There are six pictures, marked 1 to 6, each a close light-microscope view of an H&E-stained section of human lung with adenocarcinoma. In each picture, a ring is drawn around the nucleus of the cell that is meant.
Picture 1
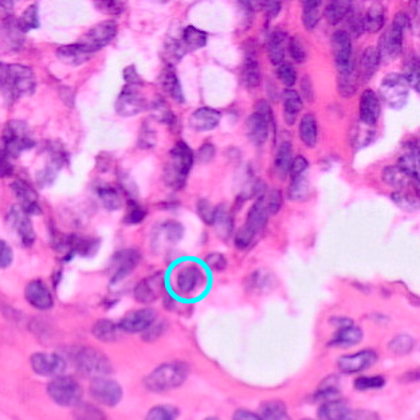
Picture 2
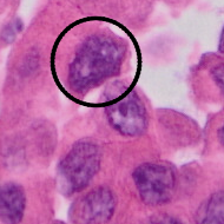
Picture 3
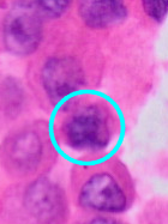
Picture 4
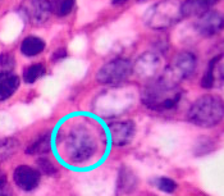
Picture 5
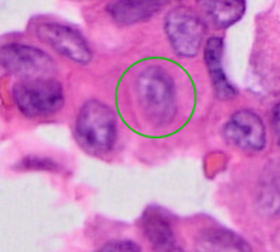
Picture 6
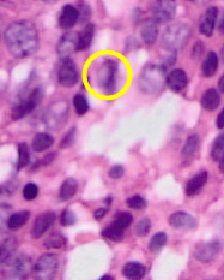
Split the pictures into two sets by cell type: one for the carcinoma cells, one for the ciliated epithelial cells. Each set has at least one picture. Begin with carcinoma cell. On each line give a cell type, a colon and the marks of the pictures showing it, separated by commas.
carcinoma cell: 2, 3, 5
ciliated epithelial cell: 1, 4, 6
